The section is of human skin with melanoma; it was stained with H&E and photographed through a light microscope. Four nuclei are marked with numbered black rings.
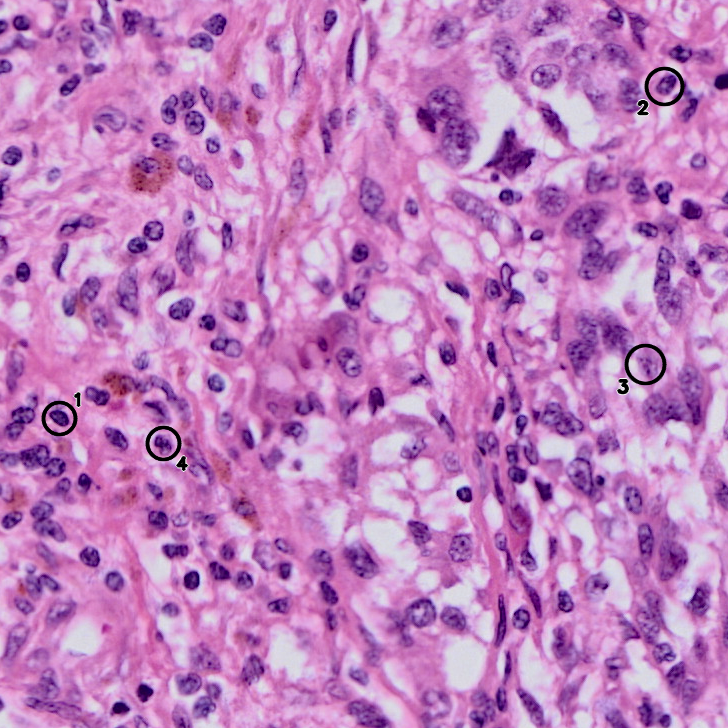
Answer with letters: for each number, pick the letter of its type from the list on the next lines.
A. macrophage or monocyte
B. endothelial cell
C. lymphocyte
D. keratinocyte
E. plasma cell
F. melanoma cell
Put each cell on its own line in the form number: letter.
1: C
2: C
3: F
4: C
